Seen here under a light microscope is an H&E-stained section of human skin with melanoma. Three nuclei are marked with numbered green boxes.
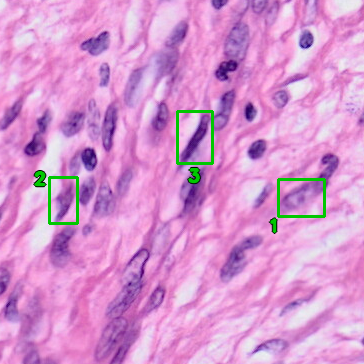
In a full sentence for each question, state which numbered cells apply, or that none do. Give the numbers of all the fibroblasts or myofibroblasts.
The cells with the numbers 1 and 2 are fibroblasts or myofibroblasts.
